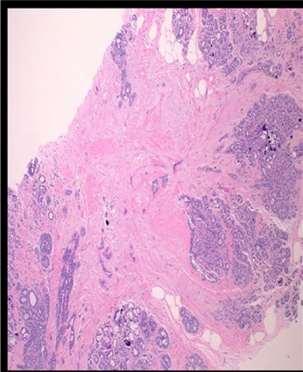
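This is breast tissue at low magnification with a central zone of pale pink, dense, sparsely cellular fibrous tissue. From this zone, pink fibrous bands run outward. Around it lie crowded, dark purple lobular clusters of small glands, some with tiny open lumens, giving a ring of glandular tissue around the pale centre. Scattered round clear spaces of fat appear at the upper edge. The overall pattern is that of a radial scar: a fibroelastotic central nidus with radiating fibrous bands, surrounded by a corona of proliferating glands.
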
